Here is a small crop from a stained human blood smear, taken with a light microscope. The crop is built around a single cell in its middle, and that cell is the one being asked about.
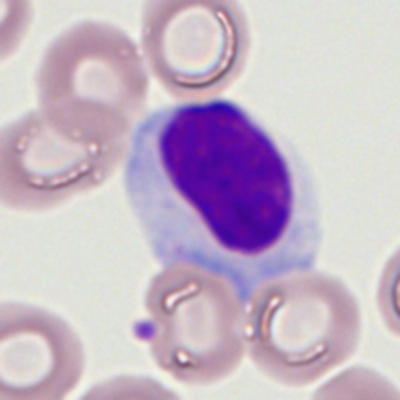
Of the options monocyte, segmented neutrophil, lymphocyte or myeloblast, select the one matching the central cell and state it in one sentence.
On this slide crop, the central cell is a lymphocyte.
